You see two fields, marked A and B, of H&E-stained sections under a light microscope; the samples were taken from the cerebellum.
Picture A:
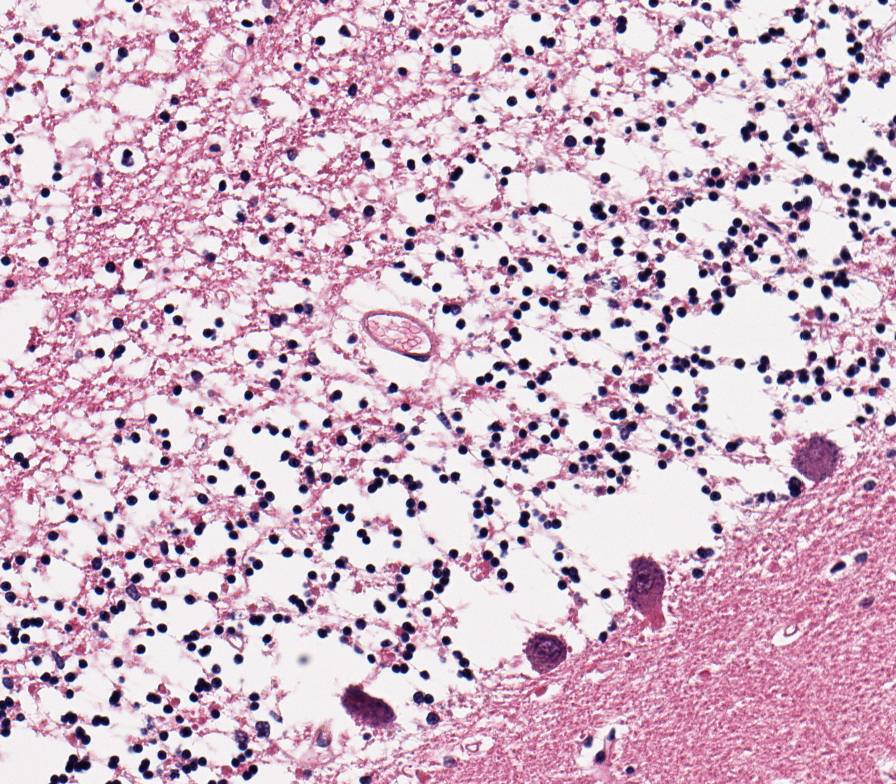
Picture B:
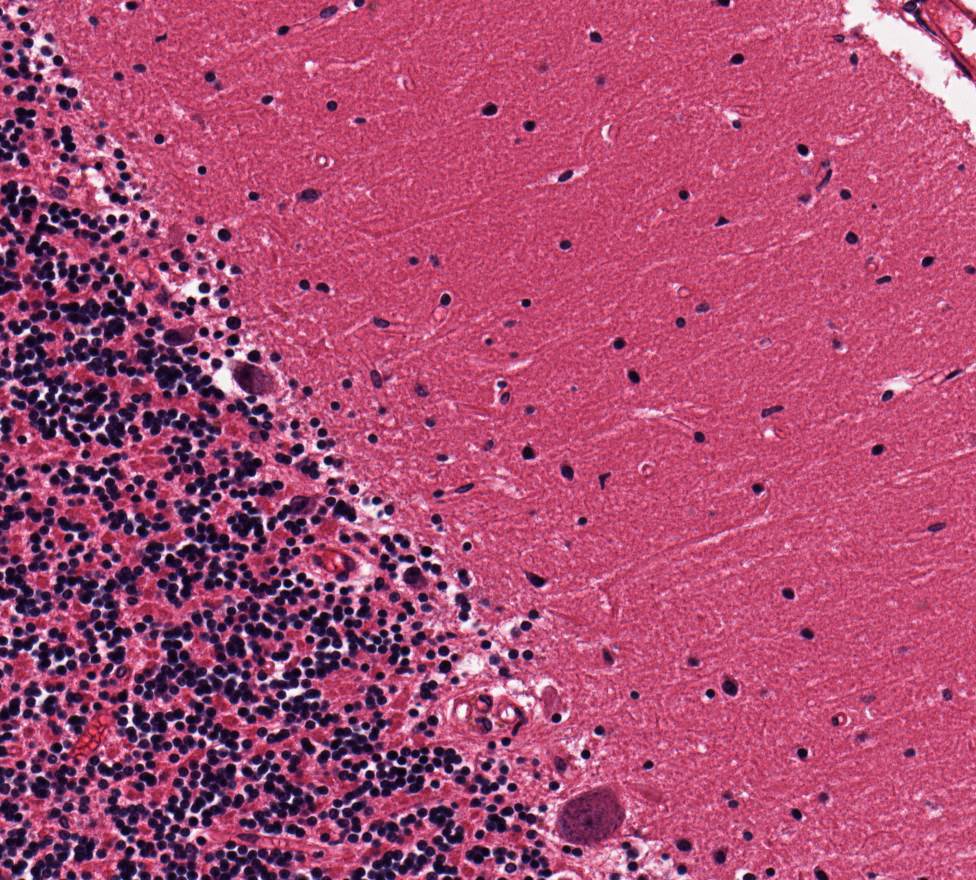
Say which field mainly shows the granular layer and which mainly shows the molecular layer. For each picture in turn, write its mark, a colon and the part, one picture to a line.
A: granular layer
B: molecular layer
